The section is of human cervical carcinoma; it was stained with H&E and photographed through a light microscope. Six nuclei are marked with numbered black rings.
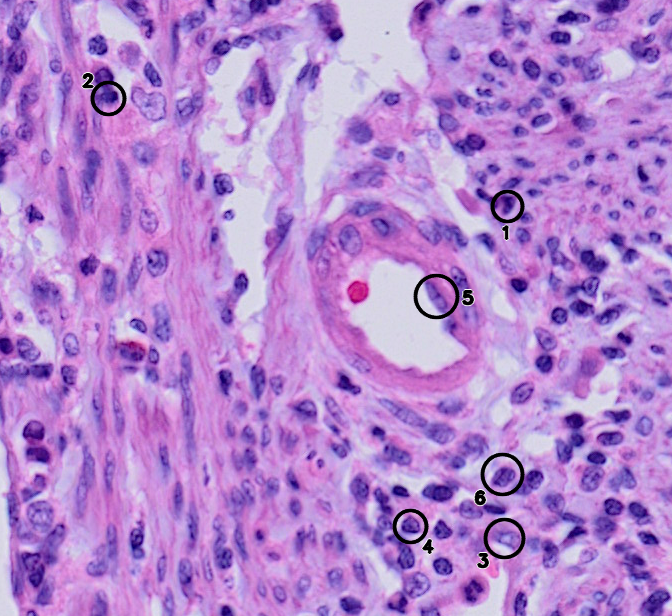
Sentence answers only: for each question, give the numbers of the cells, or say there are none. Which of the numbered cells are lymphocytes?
Each of the cells numbered 1, 2, 4 and 6 is among the lymphocytes.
